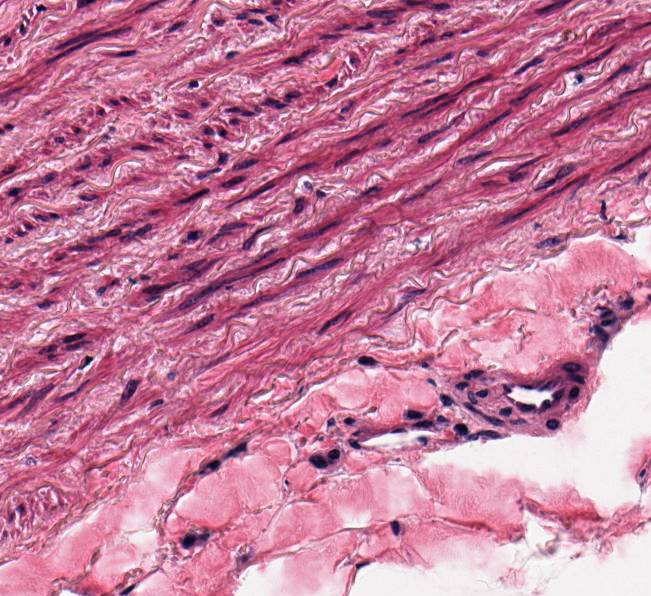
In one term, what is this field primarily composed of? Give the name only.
tunica media of an artery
